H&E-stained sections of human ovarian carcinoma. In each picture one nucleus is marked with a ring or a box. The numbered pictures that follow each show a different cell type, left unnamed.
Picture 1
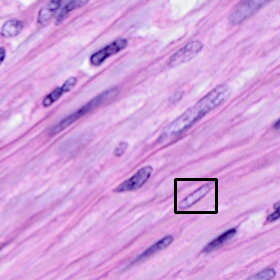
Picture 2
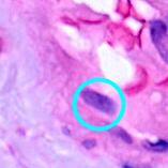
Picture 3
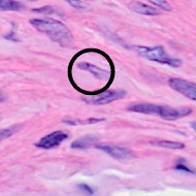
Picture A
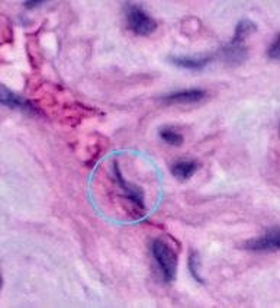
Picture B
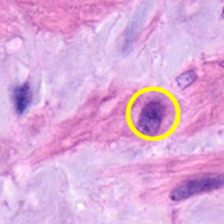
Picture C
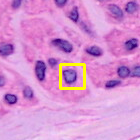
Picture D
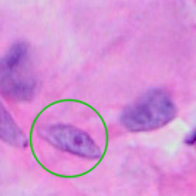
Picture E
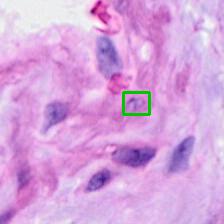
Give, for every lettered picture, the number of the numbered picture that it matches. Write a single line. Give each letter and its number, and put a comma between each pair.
A 2, B 3, C 3, D 3, E 2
